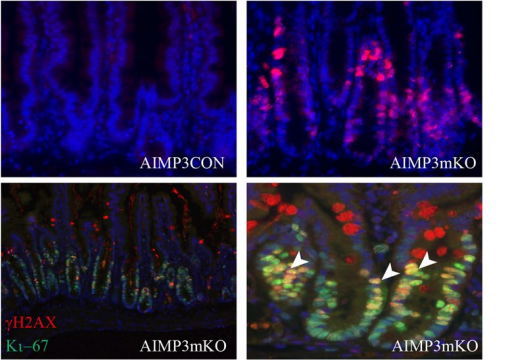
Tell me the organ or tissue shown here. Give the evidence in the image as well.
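Intestines. Finger-like villi project from a common base. Tubular crypts lie at the base beneath the villi. Nuclei line the villi in a single epithelial row.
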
